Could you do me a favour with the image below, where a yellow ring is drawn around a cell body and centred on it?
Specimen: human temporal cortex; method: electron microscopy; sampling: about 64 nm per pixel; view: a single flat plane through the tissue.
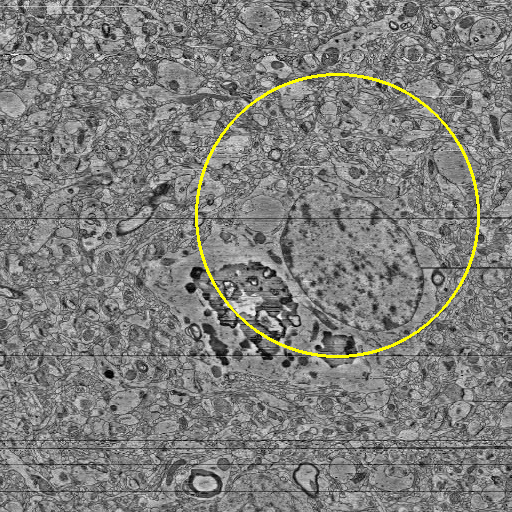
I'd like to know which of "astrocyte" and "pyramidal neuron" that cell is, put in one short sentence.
The cell at the ring's centre is an astrocyte.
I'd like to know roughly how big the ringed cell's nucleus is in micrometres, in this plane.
In this plane the nucleus measures roughly 11 by 8 micrometres.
